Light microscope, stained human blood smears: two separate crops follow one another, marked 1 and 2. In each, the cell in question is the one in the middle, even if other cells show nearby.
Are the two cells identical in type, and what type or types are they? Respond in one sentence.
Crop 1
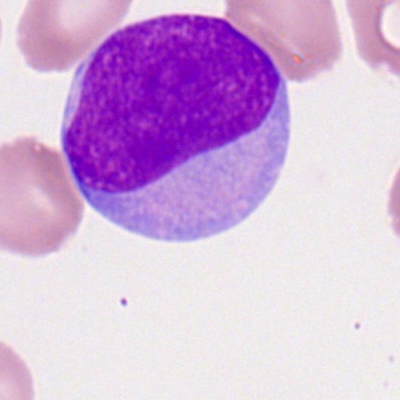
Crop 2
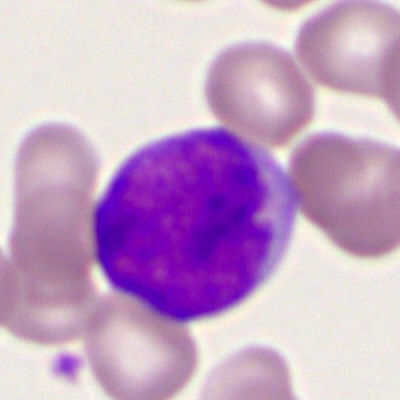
Yes, what both crops show at their centres are myeloblasts.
